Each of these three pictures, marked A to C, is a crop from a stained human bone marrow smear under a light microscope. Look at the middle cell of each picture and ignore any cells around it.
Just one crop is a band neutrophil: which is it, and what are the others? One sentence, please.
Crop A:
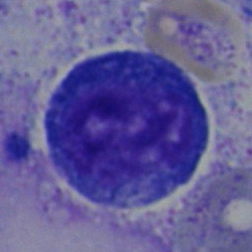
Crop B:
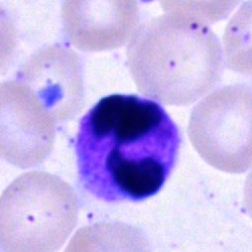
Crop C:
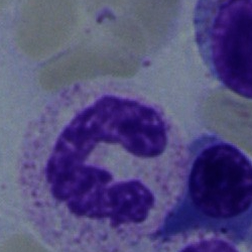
Crop C presents a band neutrophil, while crop A is a promyelocyte and crop B is a segmented neutrophil.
